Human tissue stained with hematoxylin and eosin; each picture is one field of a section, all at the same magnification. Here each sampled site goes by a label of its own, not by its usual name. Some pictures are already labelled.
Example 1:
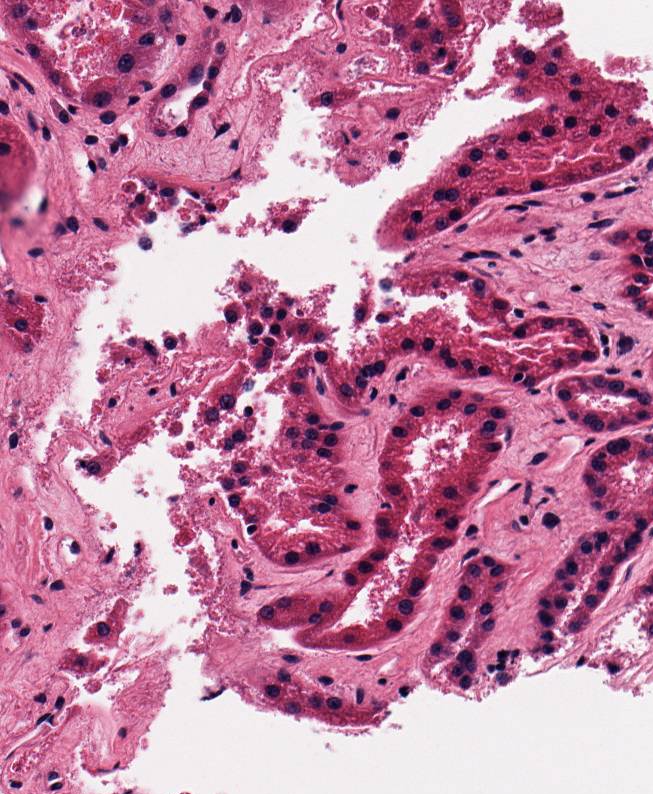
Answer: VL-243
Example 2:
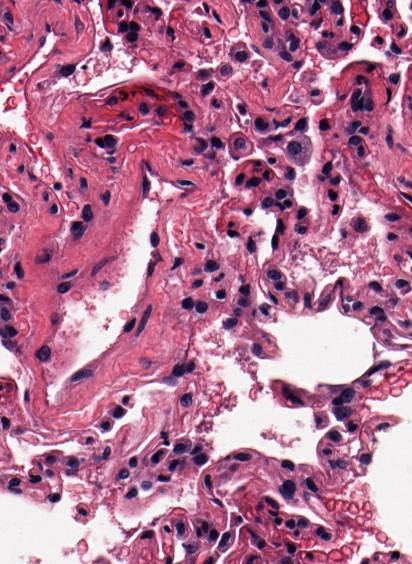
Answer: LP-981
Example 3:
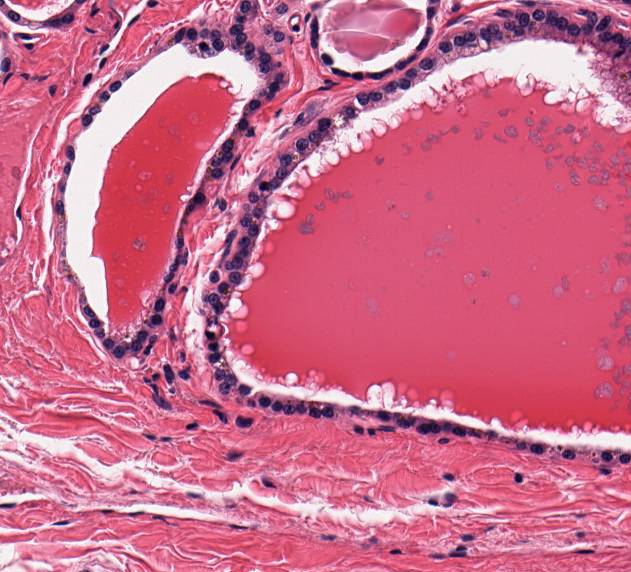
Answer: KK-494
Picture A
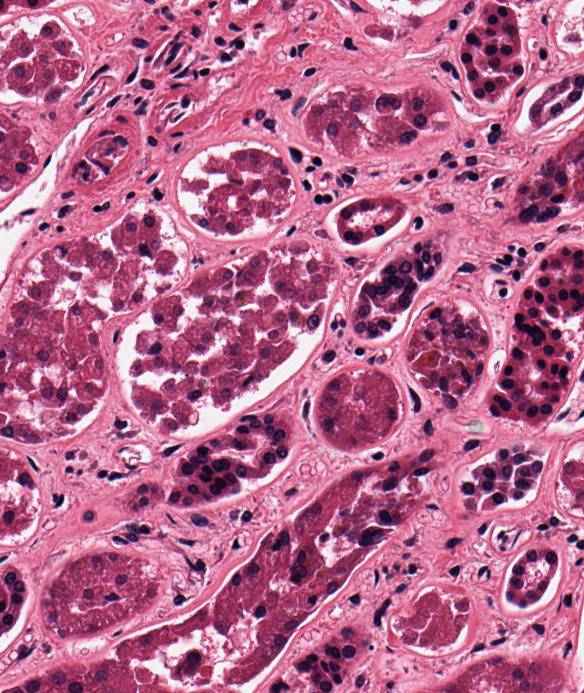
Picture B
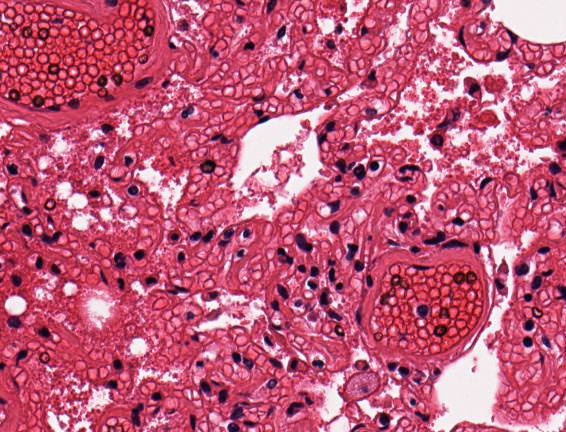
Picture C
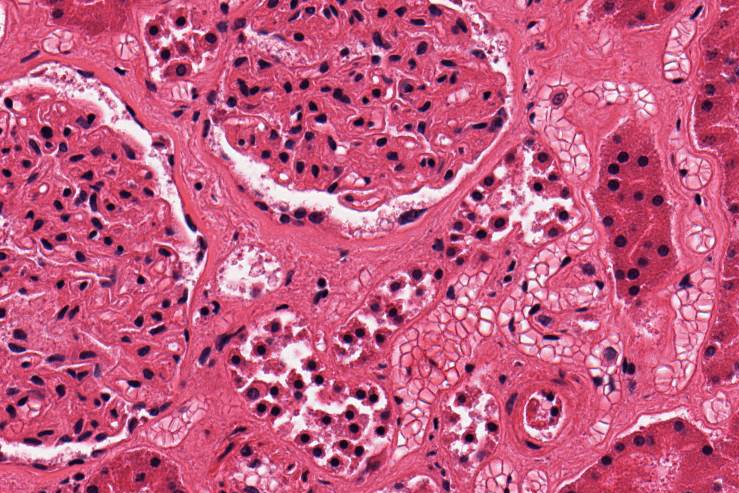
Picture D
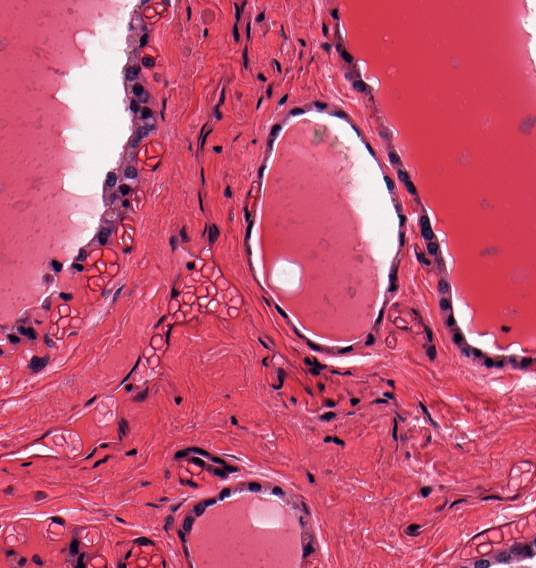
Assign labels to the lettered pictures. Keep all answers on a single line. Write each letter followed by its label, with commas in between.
A VL-243, B LP-981, C VL-243, D KK-494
